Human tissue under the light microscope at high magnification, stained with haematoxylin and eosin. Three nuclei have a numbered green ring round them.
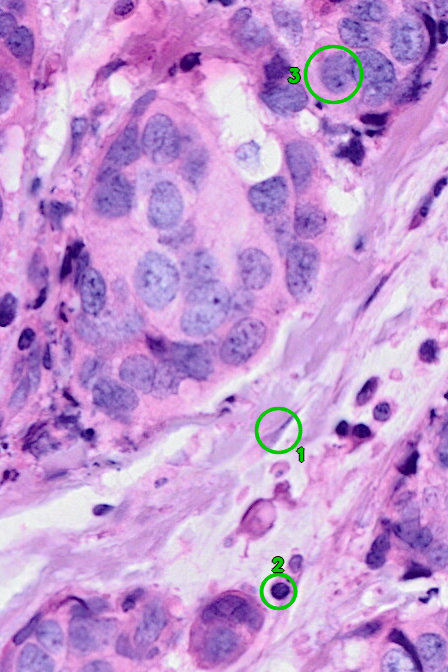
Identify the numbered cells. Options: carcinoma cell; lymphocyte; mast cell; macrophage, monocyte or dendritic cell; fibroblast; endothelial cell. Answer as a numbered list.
1. fibroblast
2. lymphocyte
3. carcinoma cell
